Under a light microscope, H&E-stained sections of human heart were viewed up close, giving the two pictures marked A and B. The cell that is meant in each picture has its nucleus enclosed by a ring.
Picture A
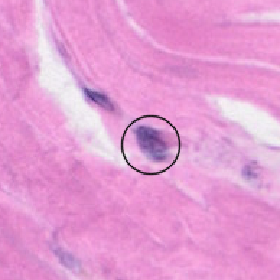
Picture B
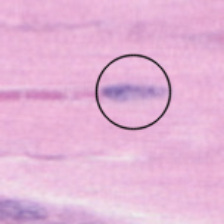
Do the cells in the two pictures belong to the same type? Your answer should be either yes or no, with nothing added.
no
